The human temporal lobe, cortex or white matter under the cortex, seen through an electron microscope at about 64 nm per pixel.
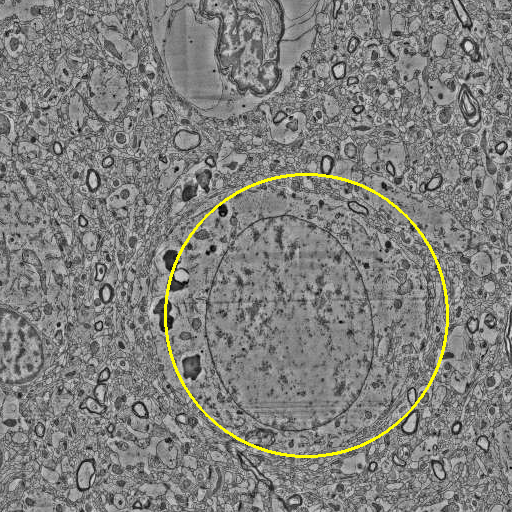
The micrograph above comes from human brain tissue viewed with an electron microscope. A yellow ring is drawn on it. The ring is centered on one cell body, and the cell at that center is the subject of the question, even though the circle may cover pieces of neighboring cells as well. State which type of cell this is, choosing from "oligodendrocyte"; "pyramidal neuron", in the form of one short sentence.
The cell the ring is centered on is a pyramidal neuron.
